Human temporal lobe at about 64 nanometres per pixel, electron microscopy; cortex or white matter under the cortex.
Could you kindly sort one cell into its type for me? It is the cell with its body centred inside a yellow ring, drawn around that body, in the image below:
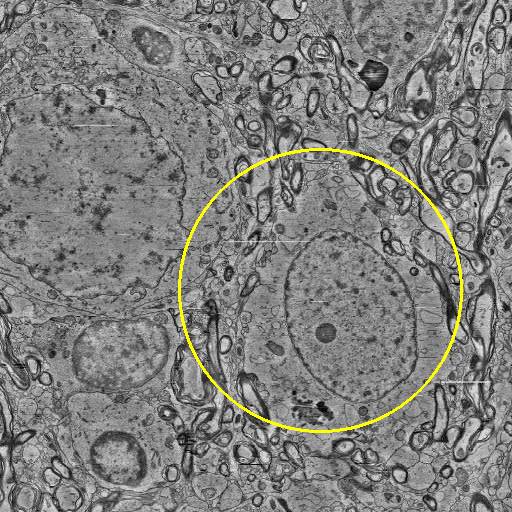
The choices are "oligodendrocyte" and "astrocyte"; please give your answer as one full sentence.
The cell whose body lies centred in the yellow ring here is an astrocyte.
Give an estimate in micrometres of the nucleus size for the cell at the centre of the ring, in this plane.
About 11 by 8 micrometers for the nucleus, in this plane.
